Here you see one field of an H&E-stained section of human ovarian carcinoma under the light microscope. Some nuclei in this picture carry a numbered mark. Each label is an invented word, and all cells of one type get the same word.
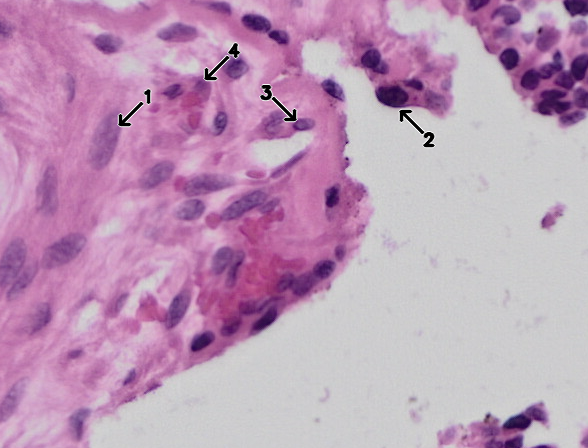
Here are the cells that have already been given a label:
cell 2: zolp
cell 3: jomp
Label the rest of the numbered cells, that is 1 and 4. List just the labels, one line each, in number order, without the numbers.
jomp
jomp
